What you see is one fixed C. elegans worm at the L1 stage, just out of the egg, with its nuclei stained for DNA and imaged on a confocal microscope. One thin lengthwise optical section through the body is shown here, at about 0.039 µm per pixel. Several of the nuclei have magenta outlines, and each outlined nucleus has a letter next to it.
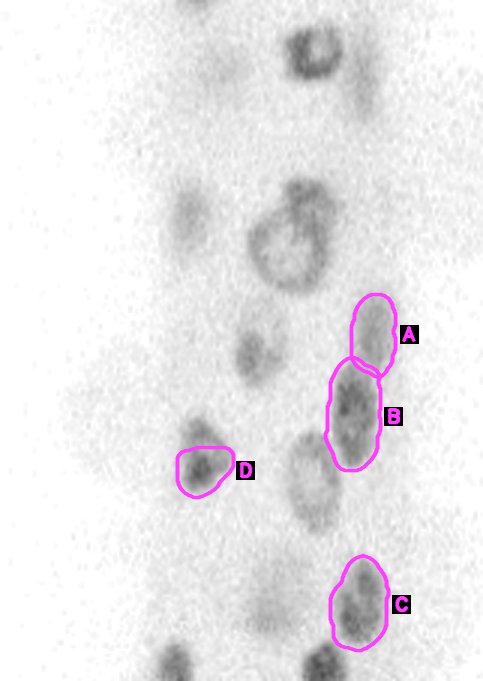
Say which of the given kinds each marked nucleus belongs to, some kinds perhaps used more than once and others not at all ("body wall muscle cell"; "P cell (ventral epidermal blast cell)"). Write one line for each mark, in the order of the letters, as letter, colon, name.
A: body wall muscle cell
B: P cell (ventral epidermal blast cell)
C: body wall muscle cell
D: body wall muscle cell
